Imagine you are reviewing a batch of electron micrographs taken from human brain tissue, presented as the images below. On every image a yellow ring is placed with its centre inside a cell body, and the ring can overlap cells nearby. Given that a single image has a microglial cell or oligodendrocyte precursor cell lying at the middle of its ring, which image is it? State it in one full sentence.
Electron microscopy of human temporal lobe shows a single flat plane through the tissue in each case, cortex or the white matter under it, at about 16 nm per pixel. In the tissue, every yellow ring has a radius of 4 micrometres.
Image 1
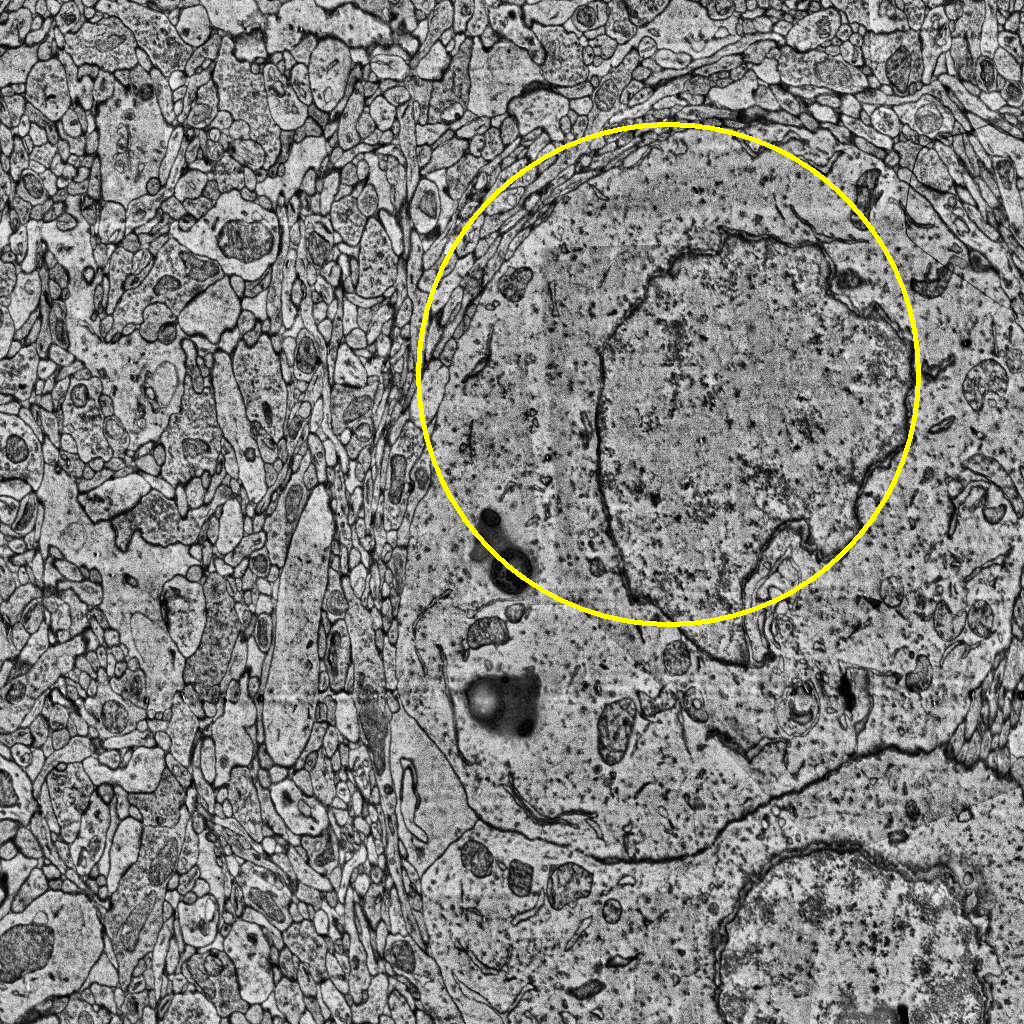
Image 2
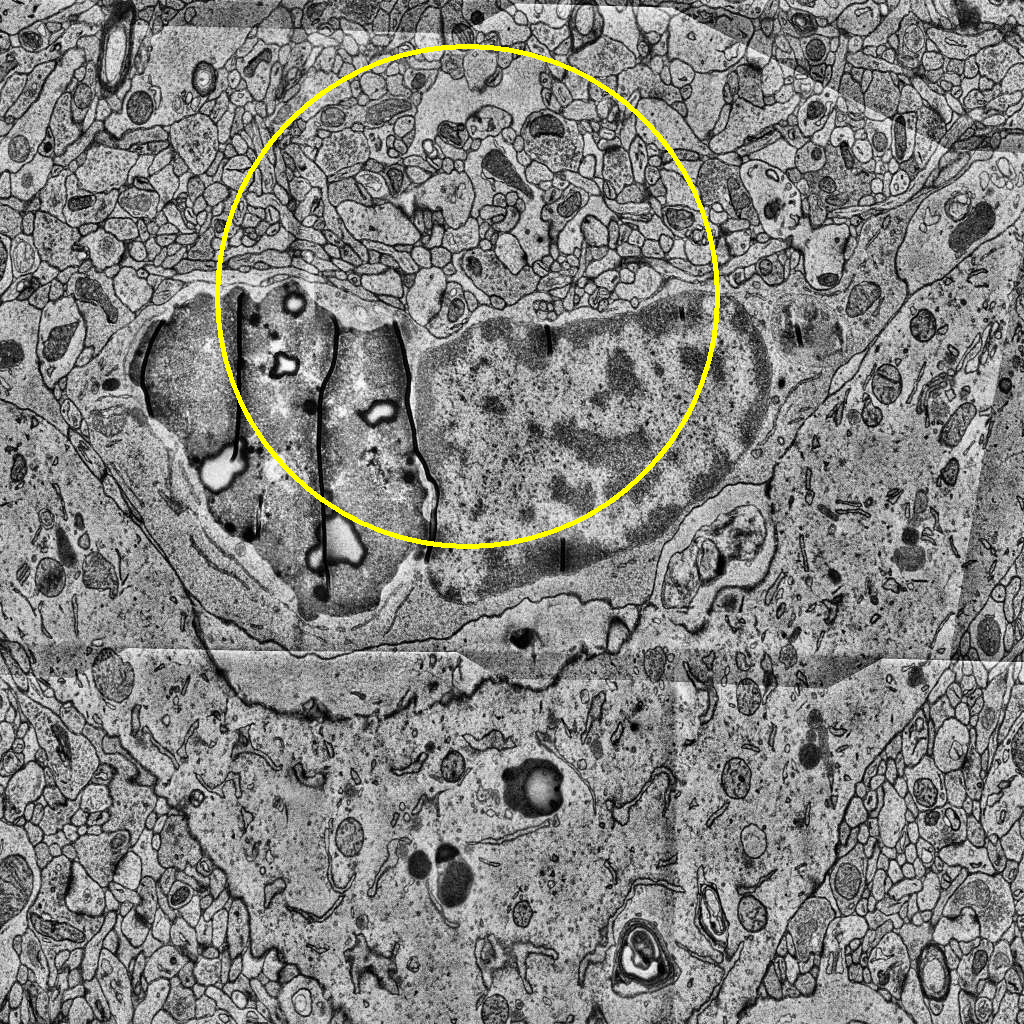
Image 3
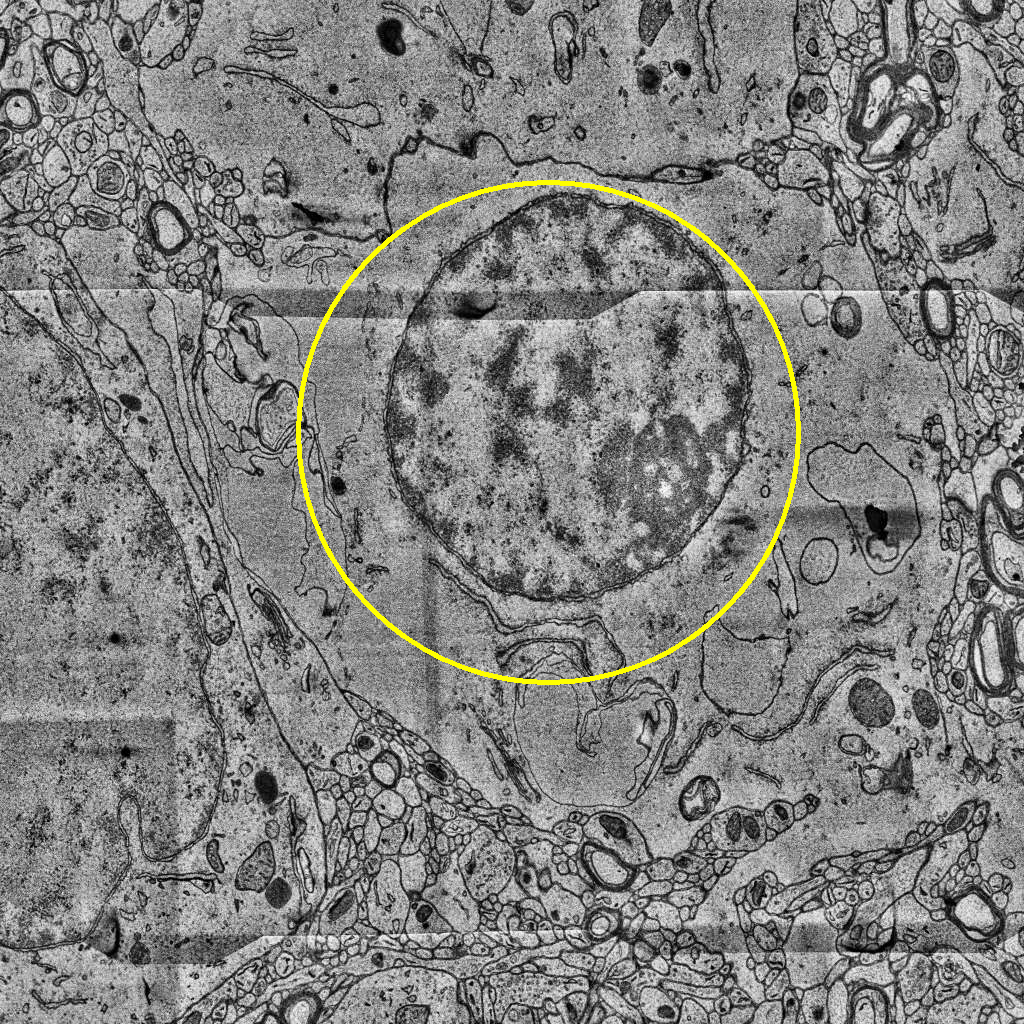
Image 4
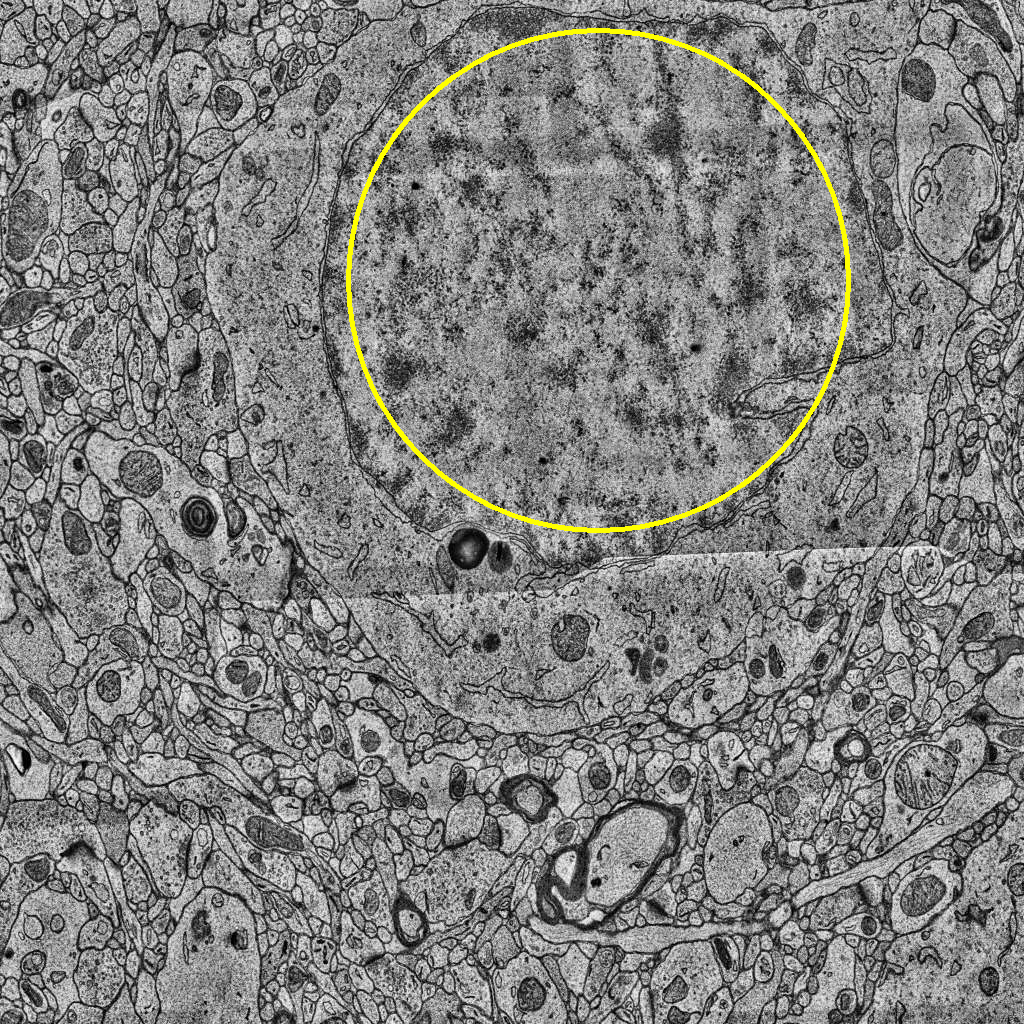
Of all the images, number 2 has the middle of its ring inside the described cell.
